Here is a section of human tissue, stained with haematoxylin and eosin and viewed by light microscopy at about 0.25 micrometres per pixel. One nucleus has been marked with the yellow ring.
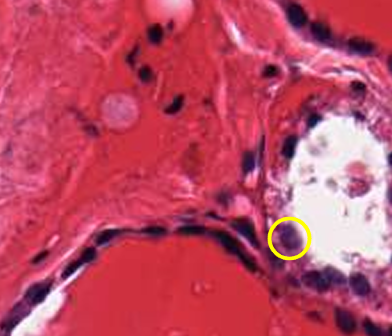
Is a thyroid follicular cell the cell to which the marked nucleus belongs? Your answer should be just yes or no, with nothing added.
yes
